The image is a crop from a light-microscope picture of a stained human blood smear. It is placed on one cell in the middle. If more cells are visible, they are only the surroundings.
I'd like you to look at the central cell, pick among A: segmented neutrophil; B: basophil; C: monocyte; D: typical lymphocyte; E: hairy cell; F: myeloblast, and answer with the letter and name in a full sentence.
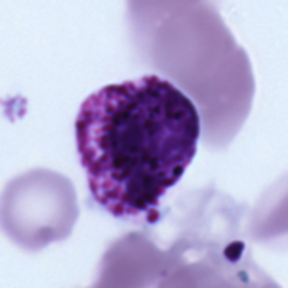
For this crop, option B is right, the centered cell being a basophil.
